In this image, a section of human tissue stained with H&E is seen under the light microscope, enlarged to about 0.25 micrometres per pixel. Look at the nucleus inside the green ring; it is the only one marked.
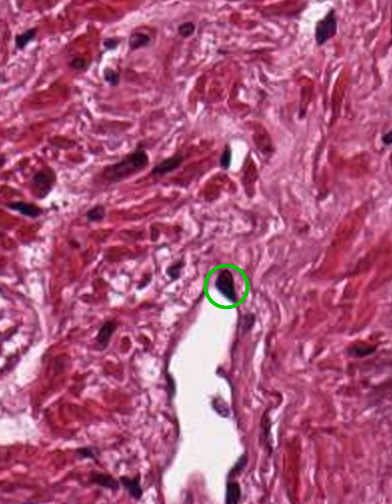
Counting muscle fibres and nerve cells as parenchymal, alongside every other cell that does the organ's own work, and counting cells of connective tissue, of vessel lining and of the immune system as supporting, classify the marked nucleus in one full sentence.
The marked nucleus is counted as that of a supporting cell.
